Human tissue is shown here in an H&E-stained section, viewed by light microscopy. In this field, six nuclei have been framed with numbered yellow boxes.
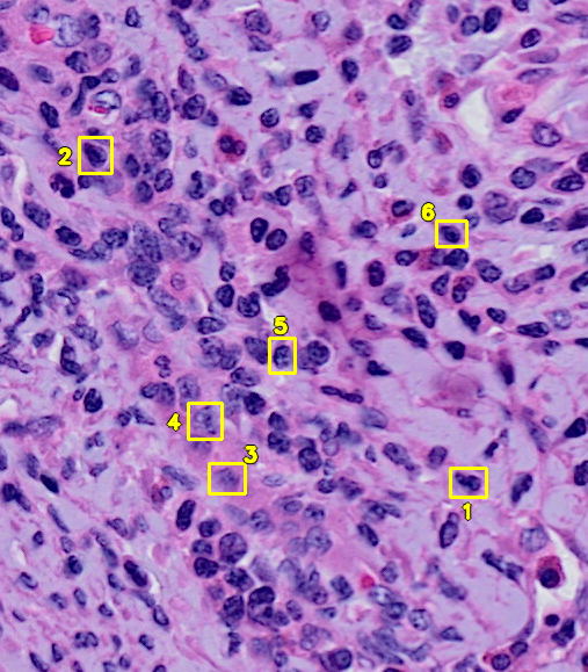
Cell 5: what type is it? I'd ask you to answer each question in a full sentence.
Cell 5 of the marked set is a lymphocyte.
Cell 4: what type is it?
Here the cell numbered 4 is an endothelial cell.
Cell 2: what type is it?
The nucleus with number 2 is that of a lymphocyte.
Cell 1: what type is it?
Cell 1 in the field is a lymphocyte.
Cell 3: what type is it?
Cell 3, among those numbered, is an endothelial cell.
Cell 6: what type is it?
Cell 6 should be recorded as a lymphocyte.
